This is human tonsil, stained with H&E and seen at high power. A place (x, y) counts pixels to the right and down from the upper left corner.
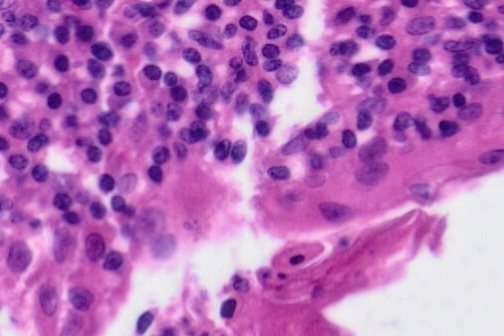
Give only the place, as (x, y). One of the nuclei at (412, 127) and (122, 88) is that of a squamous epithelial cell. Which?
(412, 127)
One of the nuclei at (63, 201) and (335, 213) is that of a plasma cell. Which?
(63, 201)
